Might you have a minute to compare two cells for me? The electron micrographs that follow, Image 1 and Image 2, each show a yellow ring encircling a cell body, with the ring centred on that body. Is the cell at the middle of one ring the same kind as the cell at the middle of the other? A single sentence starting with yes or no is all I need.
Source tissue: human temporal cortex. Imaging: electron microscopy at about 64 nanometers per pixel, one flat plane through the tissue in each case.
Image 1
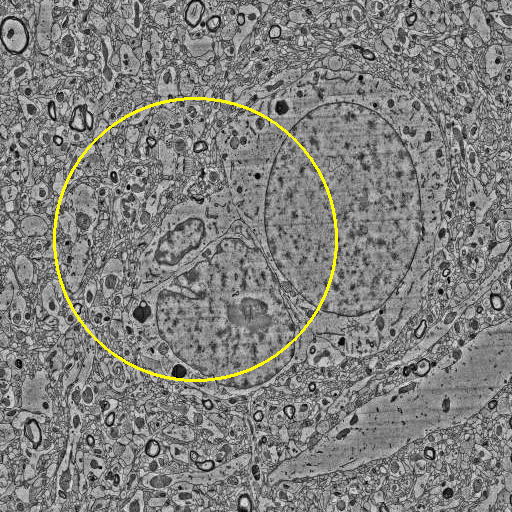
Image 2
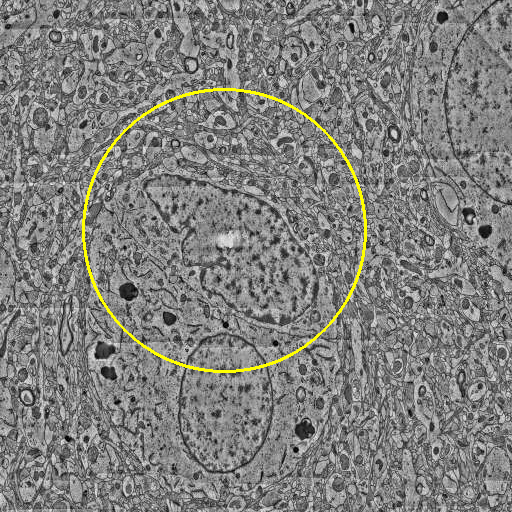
Yes, the cells in the middle of the two rings are of one shared kind.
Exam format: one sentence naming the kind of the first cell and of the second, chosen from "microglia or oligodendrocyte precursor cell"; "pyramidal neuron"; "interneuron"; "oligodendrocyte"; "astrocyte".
Each cell at the centre of a ring is a microglial cell or oligodendrocyte precursor cell.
